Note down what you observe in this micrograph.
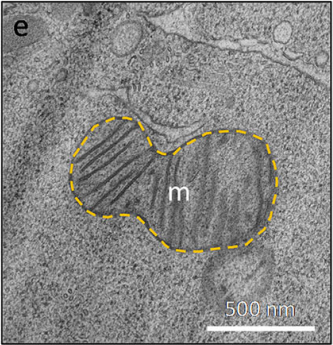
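This electron micrograph shows part of the cytoplasm of a cell, with one mitochondrion at the centre traced by a yellow dashed line. The mitochondrion is pinched in near its middle, so that it looks like two joined rounded lobes. Its matrix is crossed by dark, closely packed, parallel membrane folds of the cristae, which run in different directions in the two lobes. Around it lies finely granular cytoplasm, with membrane profiles toward the top and a few small round vesicles.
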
